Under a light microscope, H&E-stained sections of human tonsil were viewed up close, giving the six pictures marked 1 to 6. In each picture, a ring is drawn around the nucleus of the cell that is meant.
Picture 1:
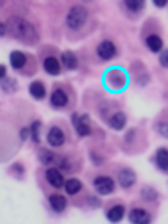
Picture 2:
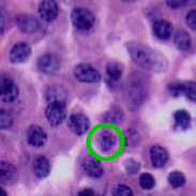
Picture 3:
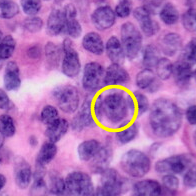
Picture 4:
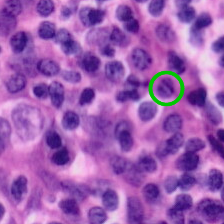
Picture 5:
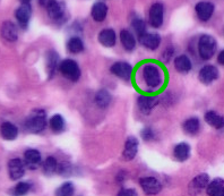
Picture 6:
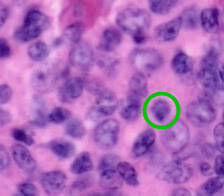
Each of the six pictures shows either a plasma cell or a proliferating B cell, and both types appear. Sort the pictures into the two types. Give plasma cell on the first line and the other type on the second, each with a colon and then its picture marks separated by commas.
plasma cell: 1, 2, 4, 5
proliferating B cell: 3, 6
